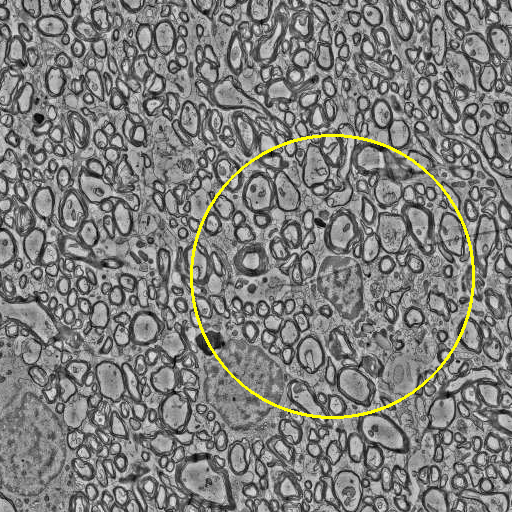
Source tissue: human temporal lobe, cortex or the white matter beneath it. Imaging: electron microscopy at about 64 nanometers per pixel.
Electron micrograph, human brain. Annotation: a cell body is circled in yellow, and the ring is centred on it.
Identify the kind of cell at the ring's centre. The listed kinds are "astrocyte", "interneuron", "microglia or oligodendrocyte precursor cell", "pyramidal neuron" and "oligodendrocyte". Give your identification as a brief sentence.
The circled cell body is that of a microglial cell or oligodendrocyte precursor cell.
